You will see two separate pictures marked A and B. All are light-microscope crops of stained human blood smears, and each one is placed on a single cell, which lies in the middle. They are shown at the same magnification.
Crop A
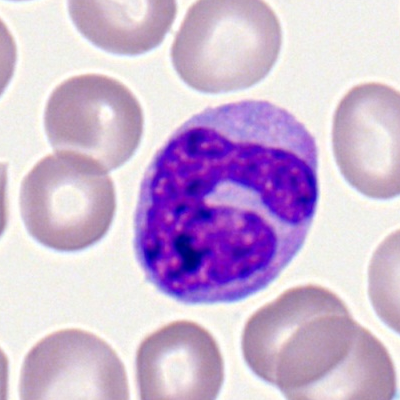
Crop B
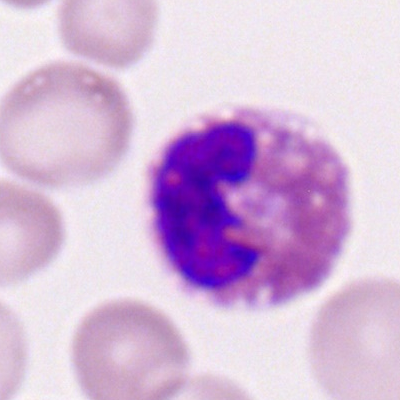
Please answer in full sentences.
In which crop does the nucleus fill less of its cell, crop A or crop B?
The nucleus fills less of the cell in crop B than in crop A.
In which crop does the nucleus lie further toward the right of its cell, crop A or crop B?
Seen within its cell, the nucleus in crop A lies further toward the right.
